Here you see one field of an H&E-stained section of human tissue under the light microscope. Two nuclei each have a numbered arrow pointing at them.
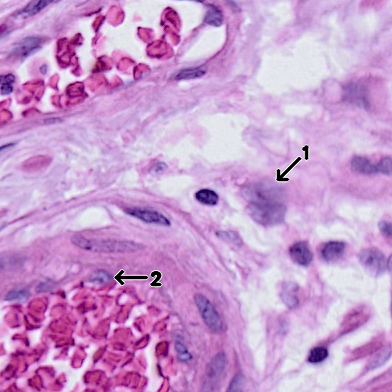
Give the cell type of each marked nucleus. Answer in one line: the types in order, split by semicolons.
fibroblast; endothelial cell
